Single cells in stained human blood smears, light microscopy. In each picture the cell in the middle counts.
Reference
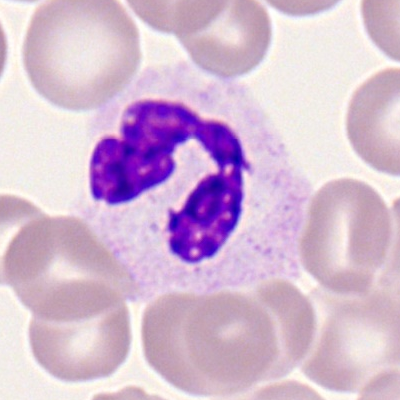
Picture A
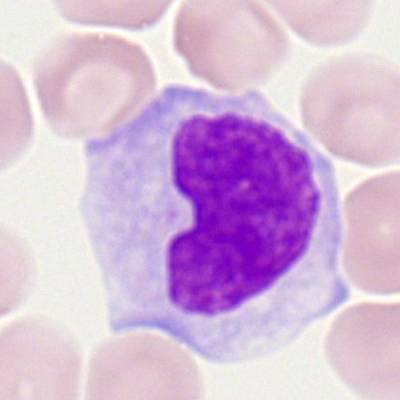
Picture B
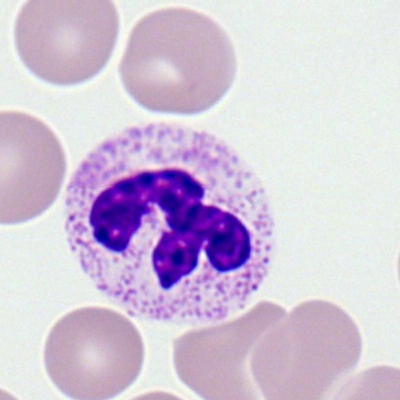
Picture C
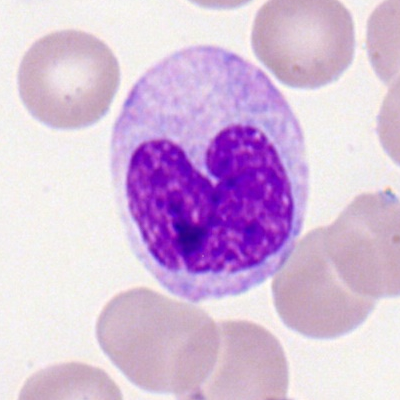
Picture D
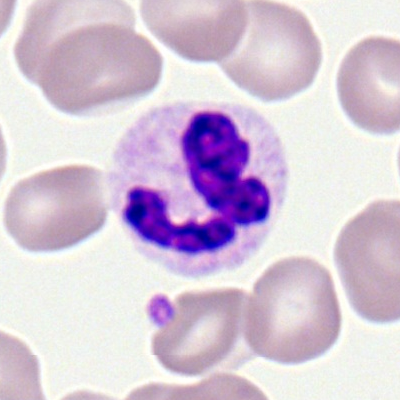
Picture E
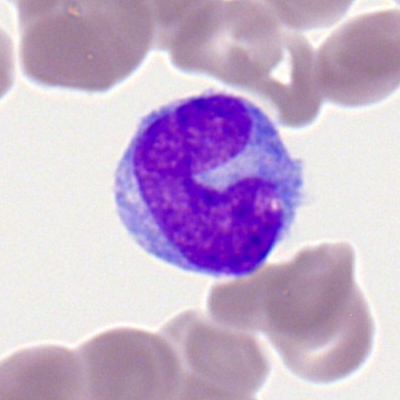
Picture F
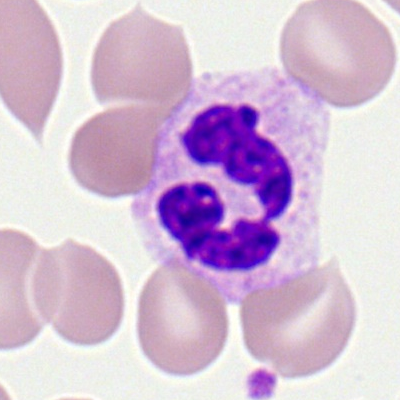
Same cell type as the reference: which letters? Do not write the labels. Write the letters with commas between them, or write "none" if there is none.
B, D, F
